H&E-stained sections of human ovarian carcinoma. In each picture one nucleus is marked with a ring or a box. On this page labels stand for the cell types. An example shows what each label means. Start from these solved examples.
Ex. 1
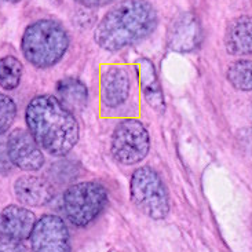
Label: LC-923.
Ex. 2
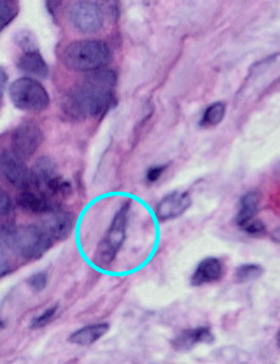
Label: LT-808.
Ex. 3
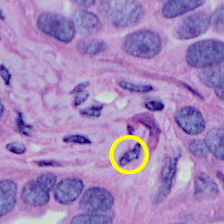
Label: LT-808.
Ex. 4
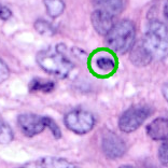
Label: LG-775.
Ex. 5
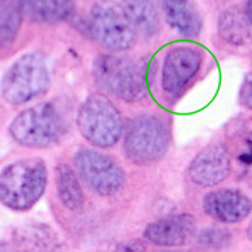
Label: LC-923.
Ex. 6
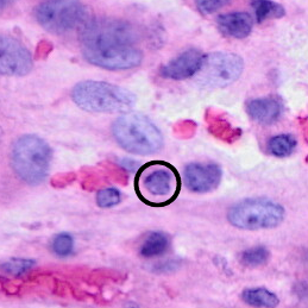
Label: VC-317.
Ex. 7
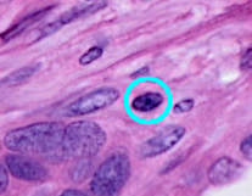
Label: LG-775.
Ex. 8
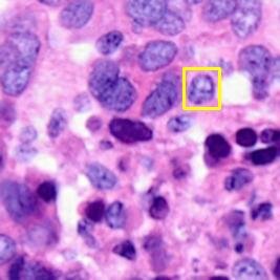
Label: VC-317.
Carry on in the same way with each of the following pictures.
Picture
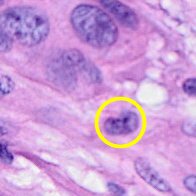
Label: VC-317.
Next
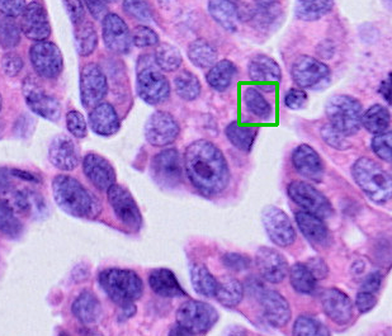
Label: LC-923.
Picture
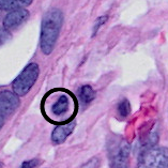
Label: LG-775.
